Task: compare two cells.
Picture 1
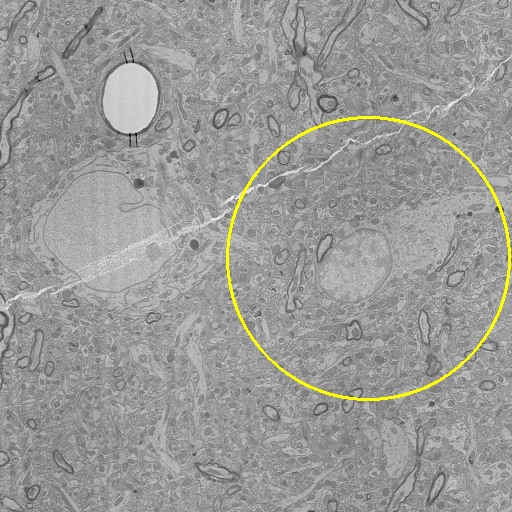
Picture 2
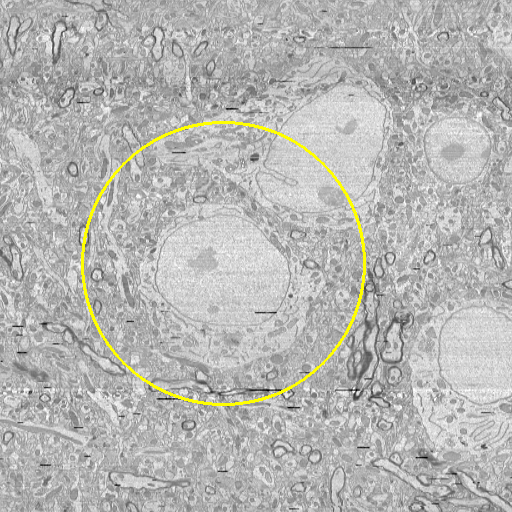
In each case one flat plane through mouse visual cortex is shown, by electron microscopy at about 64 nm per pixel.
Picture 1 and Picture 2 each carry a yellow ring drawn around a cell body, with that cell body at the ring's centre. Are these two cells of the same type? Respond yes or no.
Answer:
no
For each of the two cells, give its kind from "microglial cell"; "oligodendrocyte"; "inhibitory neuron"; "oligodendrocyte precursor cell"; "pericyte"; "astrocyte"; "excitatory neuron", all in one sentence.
The first picture has an oligodendrocyte in its ring, the second has an excitatory neuron.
